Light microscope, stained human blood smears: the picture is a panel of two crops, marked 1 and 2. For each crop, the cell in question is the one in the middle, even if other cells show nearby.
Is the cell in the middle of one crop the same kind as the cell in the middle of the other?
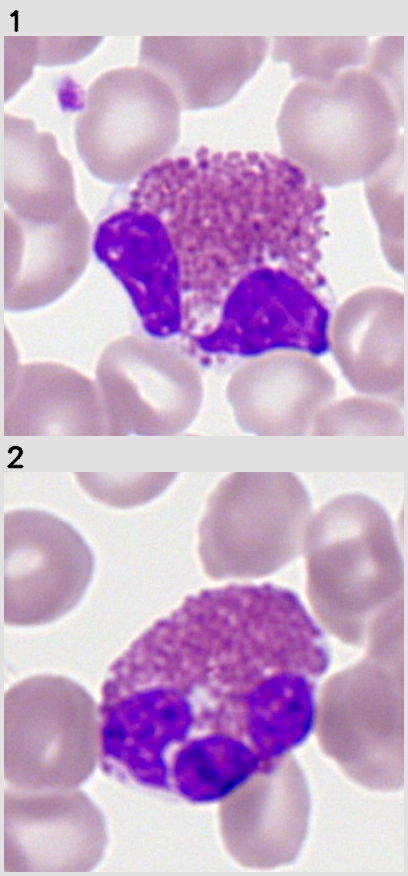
yes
